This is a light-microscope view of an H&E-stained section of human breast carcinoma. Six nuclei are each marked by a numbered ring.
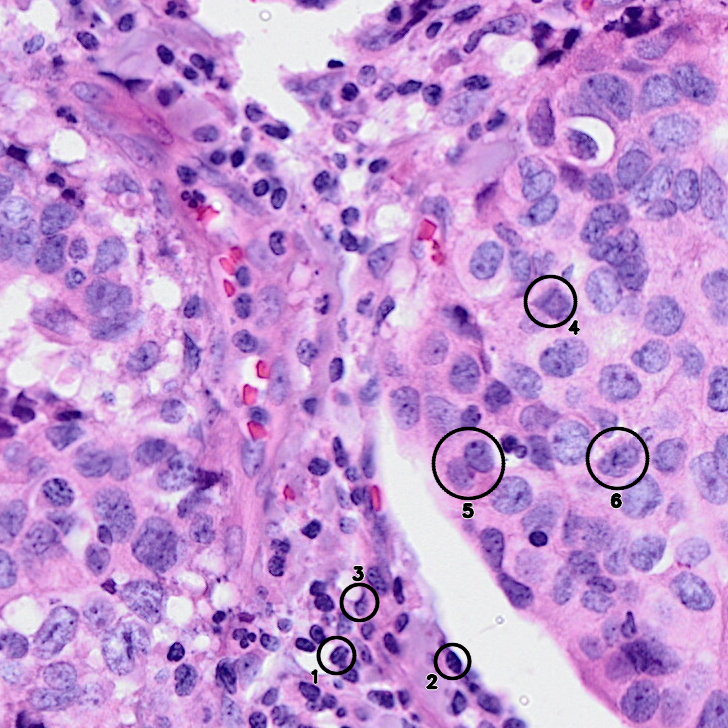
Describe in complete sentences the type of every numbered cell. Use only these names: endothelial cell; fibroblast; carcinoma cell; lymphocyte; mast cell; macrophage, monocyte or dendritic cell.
Cells 1, 2 and 3 are lymphocytes. Cells 4, 5 and 6 are carcinoma cells.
